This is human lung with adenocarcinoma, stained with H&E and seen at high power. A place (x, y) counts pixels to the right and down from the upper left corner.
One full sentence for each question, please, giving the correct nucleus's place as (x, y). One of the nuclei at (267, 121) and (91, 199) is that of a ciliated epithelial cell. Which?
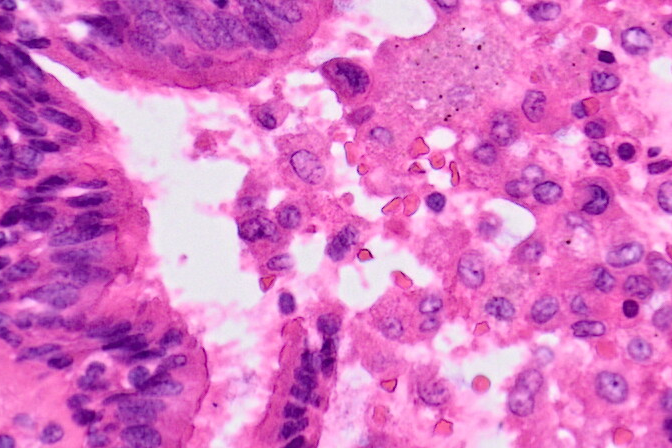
The nucleus at (91, 199) is the member of the pair belonging to a ciliated epithelial cell.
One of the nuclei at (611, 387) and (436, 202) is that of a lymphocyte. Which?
It is the nucleus at (436, 202) that belongs to a lymphocyte.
